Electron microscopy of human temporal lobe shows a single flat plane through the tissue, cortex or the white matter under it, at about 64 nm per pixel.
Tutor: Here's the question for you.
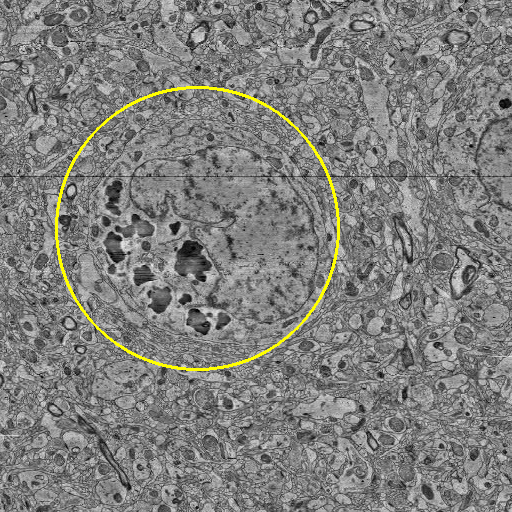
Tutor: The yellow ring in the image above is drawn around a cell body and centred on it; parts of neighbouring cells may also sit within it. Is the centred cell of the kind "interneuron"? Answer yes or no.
yes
